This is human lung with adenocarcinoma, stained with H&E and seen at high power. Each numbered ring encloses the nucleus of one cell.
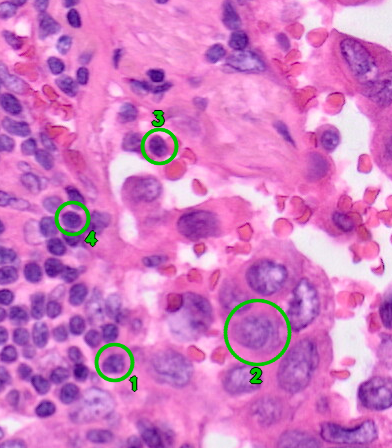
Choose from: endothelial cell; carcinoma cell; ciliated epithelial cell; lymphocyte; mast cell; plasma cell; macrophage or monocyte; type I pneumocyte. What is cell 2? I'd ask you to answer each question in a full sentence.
Among the marked cells, number 2 is a carcinoma cell.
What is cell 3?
Among the marked cells, number 3 is a lymphocyte.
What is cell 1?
Cell 1 of the marked set is a lymphocyte.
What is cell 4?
Nucleus 4 in this section belongs to a lymphocyte.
